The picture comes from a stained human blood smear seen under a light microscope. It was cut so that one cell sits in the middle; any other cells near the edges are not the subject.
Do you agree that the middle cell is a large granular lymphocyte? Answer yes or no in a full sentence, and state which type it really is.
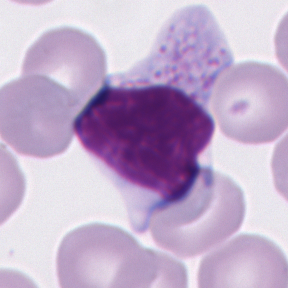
Yes, the cell in the centre is a large granular lymphocyte.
